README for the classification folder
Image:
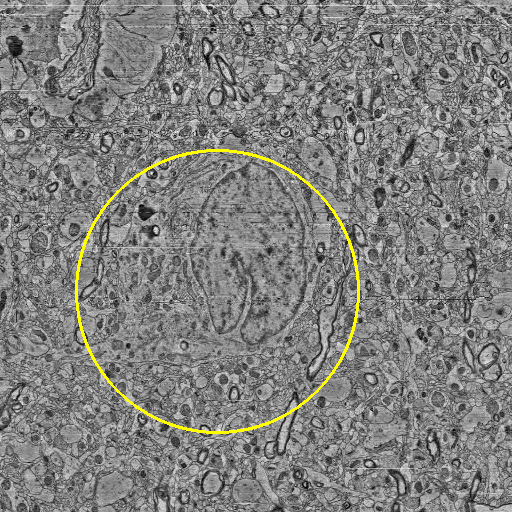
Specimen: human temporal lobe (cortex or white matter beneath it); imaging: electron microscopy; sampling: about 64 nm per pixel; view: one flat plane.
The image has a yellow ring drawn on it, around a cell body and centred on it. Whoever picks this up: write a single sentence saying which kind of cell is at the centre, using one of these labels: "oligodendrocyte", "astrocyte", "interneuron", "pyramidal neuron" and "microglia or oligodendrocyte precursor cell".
This cell body is that of an interneuron.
